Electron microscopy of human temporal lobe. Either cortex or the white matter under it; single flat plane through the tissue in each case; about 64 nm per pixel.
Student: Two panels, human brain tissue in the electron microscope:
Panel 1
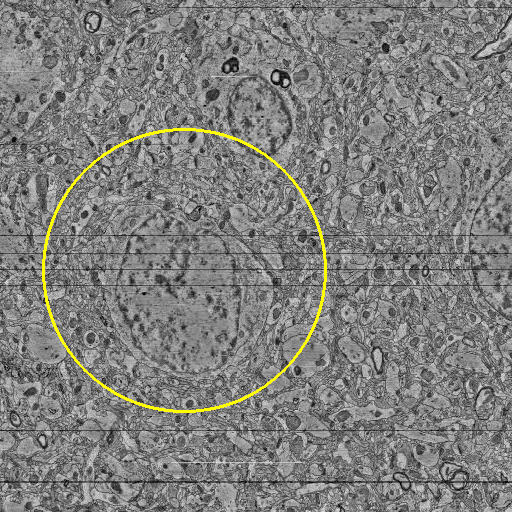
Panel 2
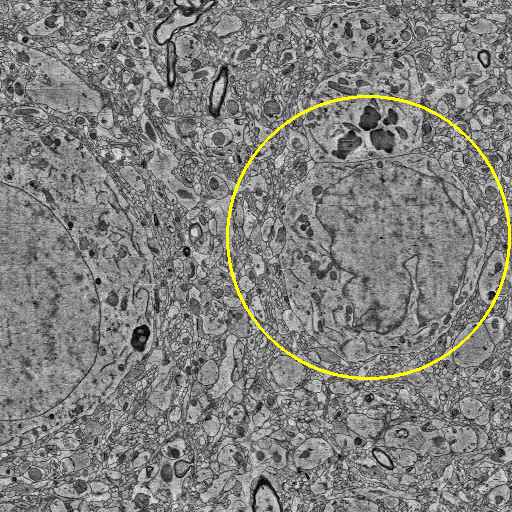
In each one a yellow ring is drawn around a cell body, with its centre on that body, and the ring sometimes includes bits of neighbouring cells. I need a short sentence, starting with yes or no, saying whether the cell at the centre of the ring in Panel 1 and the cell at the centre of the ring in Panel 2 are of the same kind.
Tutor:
Yes, they are the same kind of cell.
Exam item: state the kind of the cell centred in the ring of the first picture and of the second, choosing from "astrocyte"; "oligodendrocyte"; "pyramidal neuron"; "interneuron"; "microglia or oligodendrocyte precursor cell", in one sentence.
Both the first and the second picture show an interneuron in the ring.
